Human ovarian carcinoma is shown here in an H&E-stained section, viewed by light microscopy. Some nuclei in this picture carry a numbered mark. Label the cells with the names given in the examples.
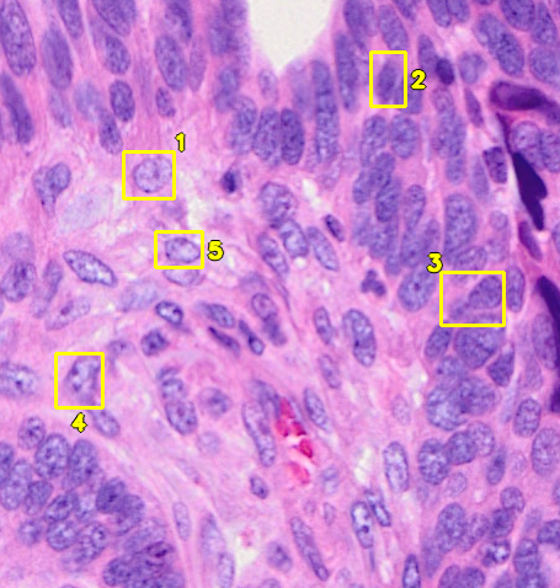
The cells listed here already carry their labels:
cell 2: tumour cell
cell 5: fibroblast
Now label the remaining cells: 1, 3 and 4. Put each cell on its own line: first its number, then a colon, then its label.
1: fibroblast
3: tumour cell
4: fibroblast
